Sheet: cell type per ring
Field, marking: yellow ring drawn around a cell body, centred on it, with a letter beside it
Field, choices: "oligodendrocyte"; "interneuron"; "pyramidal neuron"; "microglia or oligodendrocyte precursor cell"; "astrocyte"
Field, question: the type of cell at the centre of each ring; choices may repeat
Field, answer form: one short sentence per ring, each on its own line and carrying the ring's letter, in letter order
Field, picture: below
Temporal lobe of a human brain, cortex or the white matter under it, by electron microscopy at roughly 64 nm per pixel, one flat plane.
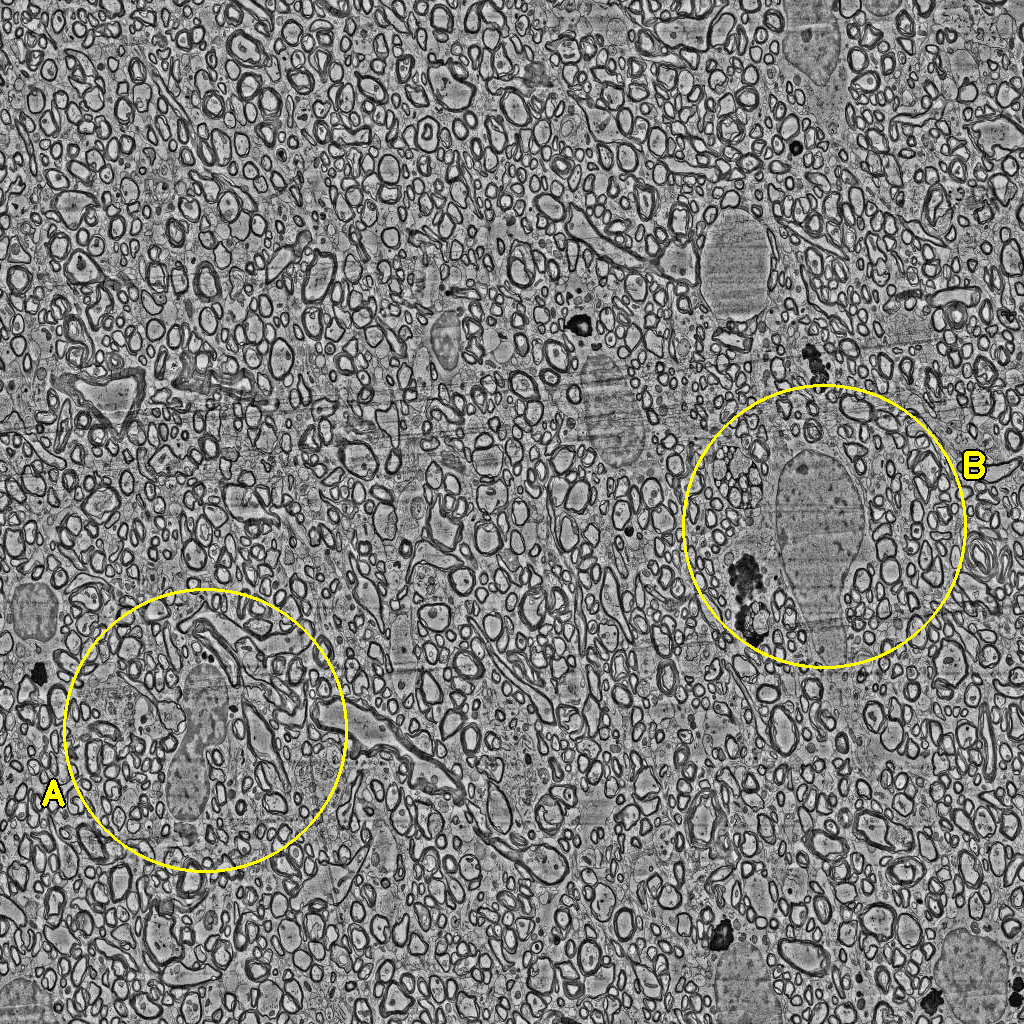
The cell body inside ring A, at its centre, is a microglial cell or oligodendrocyte precursor cell.
The cell body inside ring B, at its centre, is an astrocyte.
